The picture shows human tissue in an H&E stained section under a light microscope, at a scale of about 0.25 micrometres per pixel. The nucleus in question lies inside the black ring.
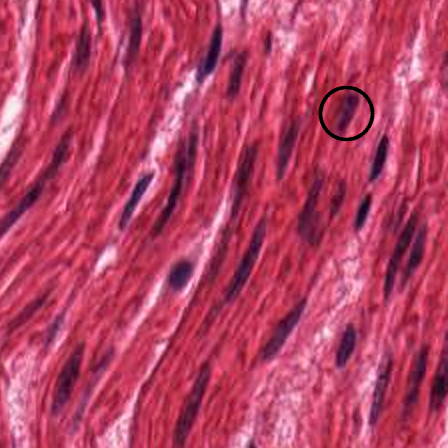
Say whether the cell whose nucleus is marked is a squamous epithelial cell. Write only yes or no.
no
